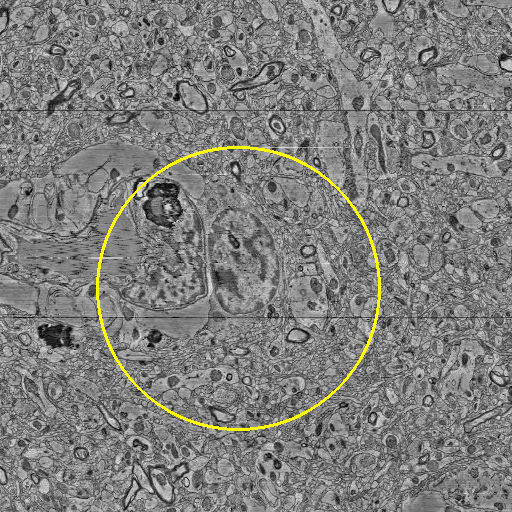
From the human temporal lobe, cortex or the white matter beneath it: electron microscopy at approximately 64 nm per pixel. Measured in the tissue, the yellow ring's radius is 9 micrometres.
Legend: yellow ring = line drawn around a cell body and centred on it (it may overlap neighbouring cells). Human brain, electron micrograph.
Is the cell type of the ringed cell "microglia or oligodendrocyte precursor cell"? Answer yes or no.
no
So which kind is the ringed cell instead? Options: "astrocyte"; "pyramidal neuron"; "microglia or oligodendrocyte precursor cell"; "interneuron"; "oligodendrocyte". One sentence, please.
Sitting at the ring centre is an oligodendrocyte.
